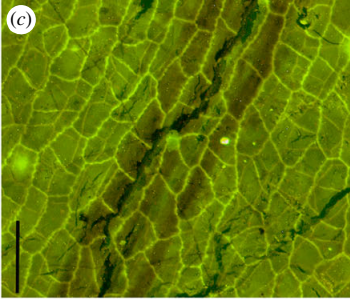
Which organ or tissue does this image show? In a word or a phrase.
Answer: Epidermal cell pattern.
